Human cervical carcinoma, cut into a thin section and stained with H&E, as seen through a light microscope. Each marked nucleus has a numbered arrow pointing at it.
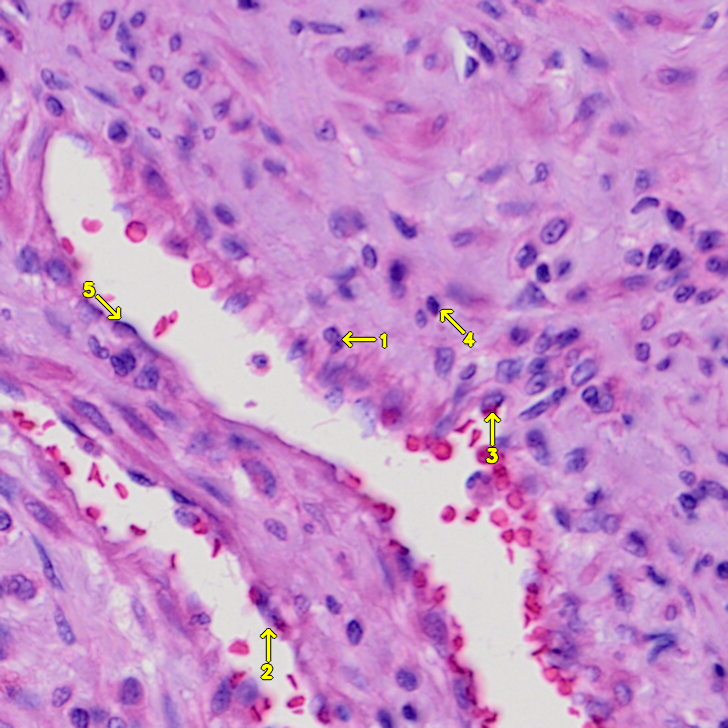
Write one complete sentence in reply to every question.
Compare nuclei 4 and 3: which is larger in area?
Number 3 is larger; its area is about 2 times that of number 4.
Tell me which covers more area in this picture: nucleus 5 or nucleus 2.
Nucleus 2 is larger, with an area about 1.5 times that of nucleus 5.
